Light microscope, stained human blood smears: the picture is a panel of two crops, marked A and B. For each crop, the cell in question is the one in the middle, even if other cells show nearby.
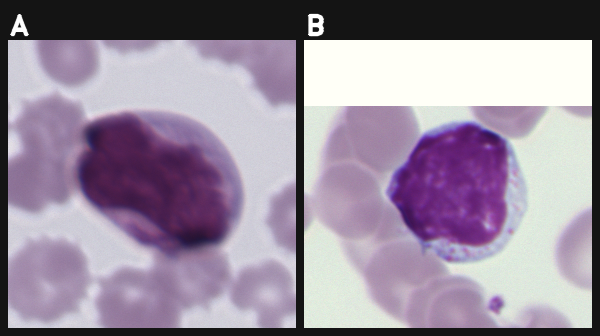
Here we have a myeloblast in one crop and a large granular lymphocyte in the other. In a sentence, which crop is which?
Crop A corresponds to a myeloblast, and crop B corresponds to a large granular lymphocyte.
